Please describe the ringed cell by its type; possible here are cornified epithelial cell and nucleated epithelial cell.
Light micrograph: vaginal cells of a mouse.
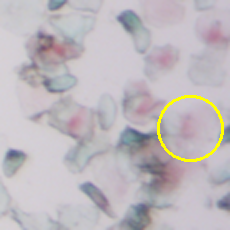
The yellow ring marks a cornified epithelial cell.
